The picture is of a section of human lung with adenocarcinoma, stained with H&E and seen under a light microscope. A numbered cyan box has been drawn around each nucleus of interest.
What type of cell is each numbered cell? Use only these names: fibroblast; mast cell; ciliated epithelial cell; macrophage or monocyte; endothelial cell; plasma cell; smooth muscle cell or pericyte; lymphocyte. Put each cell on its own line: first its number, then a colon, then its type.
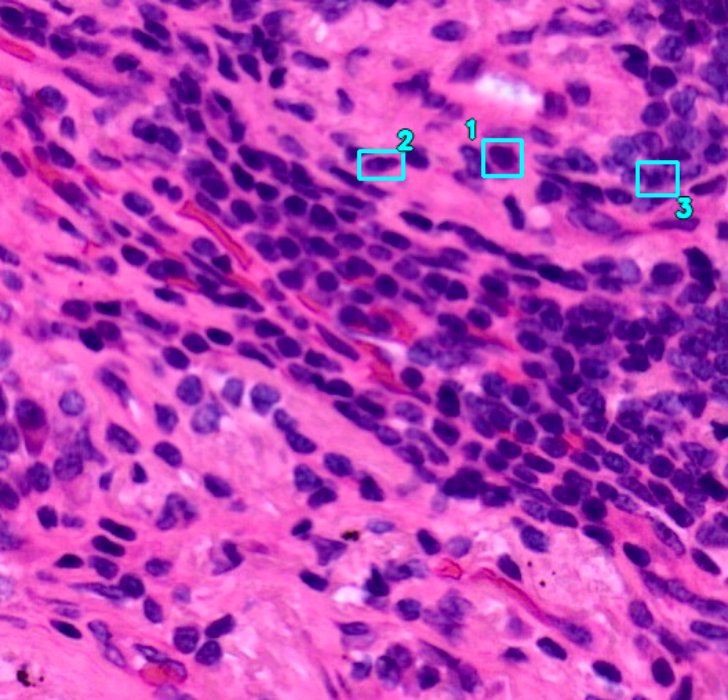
1: plasma cell
2: lymphocyte
3: lymphocyte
